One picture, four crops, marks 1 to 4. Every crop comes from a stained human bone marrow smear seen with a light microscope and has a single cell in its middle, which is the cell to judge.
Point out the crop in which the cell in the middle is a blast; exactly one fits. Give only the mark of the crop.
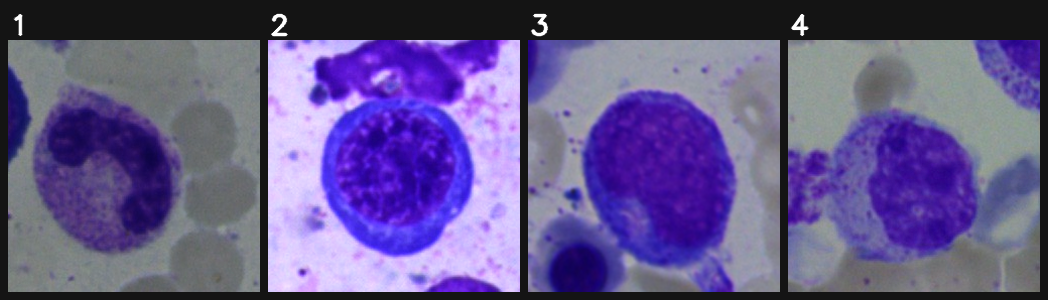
3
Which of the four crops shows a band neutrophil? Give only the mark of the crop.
1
